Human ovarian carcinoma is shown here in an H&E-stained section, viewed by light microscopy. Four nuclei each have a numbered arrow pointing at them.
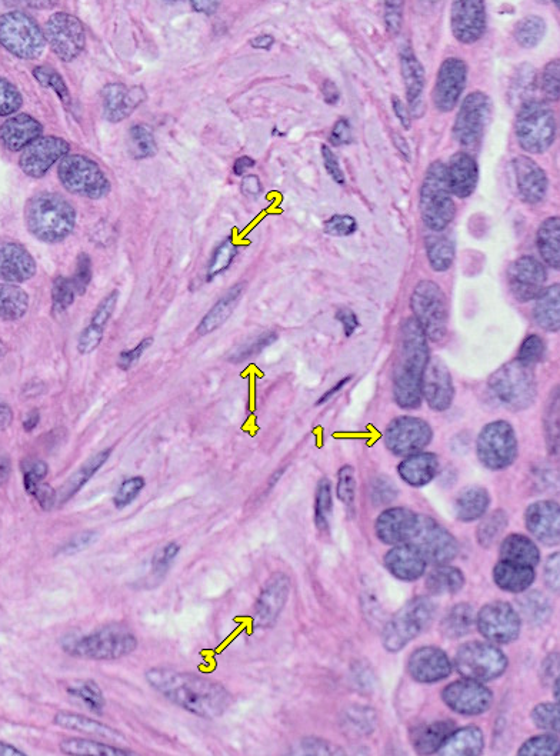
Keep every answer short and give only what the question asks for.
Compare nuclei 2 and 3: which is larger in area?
3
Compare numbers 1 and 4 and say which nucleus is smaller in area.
4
